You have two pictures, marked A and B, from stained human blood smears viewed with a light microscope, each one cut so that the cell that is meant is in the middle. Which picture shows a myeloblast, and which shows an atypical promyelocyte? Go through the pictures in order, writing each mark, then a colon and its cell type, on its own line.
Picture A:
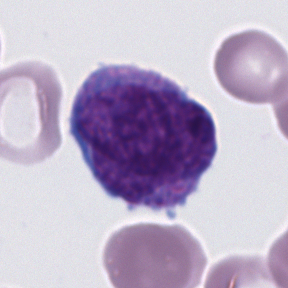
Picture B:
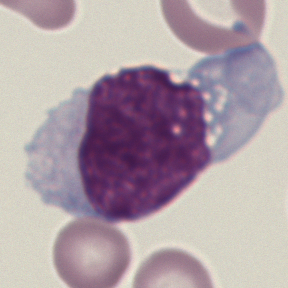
A: atypical promyelocyte
B: myeloblast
